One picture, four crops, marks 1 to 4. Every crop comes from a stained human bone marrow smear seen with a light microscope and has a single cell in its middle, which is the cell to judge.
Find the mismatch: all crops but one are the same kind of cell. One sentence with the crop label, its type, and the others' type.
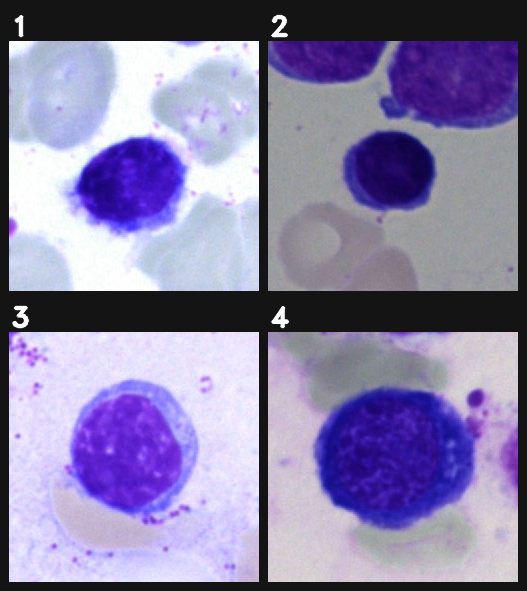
Whereas the other crops show lymphocytes, crop 4 is an erythroblast.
